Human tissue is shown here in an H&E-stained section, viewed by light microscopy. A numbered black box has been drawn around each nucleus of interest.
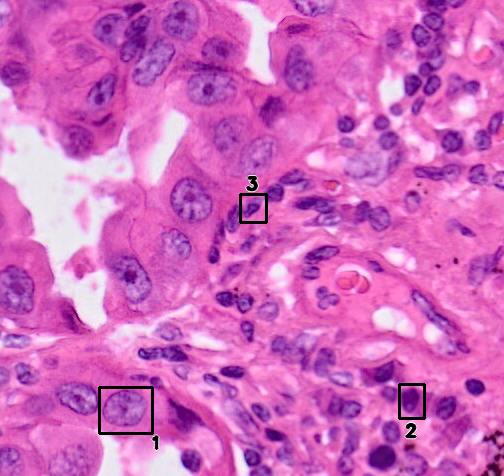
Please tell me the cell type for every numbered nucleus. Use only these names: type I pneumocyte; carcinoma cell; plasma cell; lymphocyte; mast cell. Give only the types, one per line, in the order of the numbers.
carcinoma cell
plasma cell
lymphocyte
